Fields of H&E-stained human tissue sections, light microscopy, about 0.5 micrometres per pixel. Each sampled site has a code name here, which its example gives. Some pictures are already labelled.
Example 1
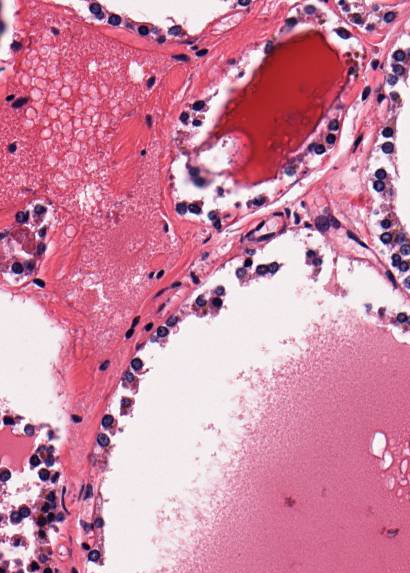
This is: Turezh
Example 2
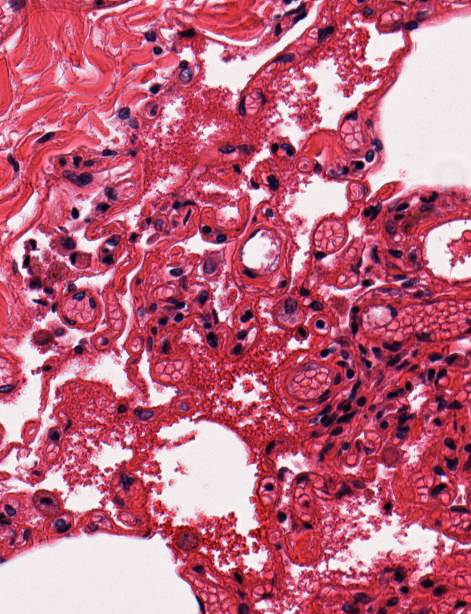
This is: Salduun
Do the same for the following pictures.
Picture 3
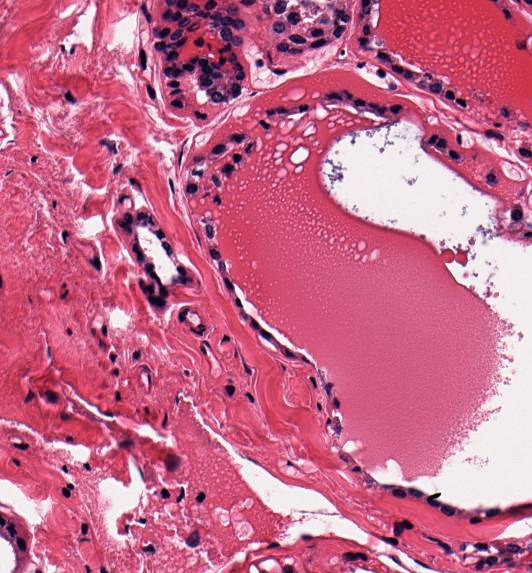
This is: Turezh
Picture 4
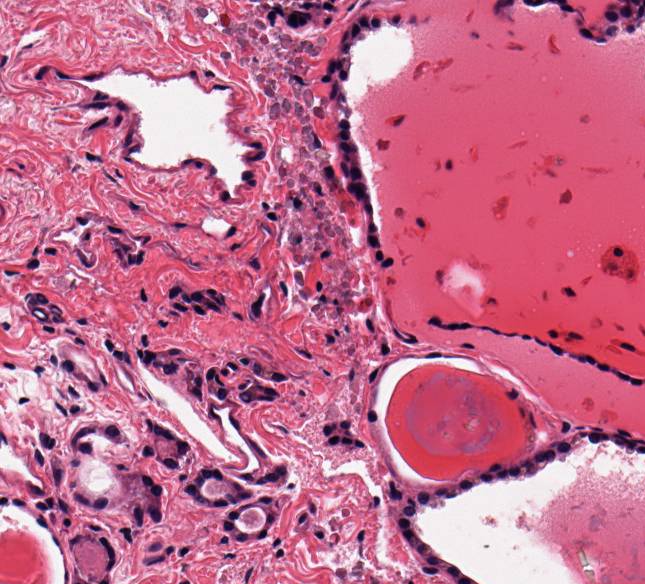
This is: Turezh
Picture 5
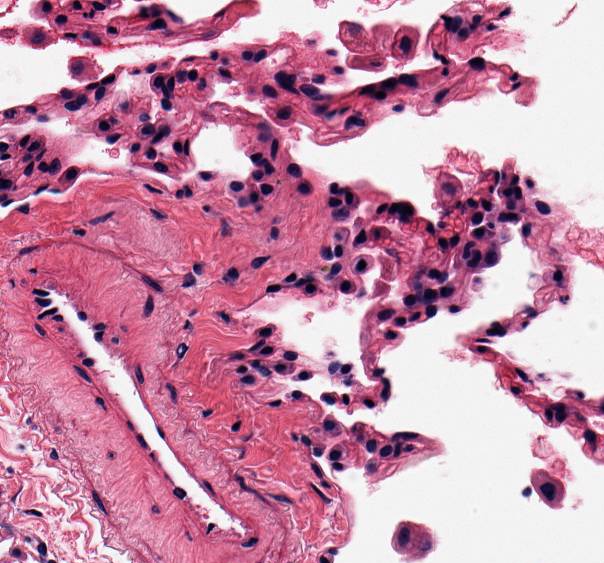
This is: Salduun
